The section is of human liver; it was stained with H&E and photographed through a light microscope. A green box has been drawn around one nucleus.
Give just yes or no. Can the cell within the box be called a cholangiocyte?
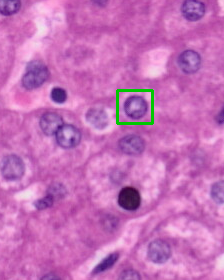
no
